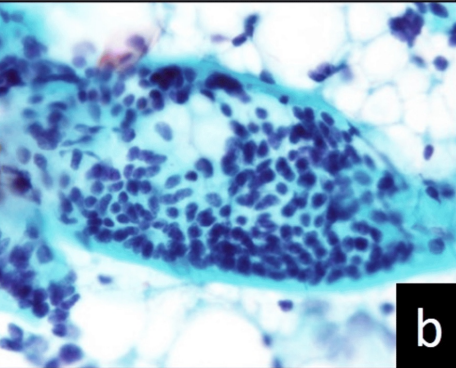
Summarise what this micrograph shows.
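This cohesive cluster of small epithelial cells is wrapped in a smooth cyan band of basement membrane-like material. The nuclei are small, oval to spindle-shaped and dark, with little visible cytoplasm. The cells in the centre are more haphazardly crowded. Pale, bubbly background lies outside the cluster.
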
